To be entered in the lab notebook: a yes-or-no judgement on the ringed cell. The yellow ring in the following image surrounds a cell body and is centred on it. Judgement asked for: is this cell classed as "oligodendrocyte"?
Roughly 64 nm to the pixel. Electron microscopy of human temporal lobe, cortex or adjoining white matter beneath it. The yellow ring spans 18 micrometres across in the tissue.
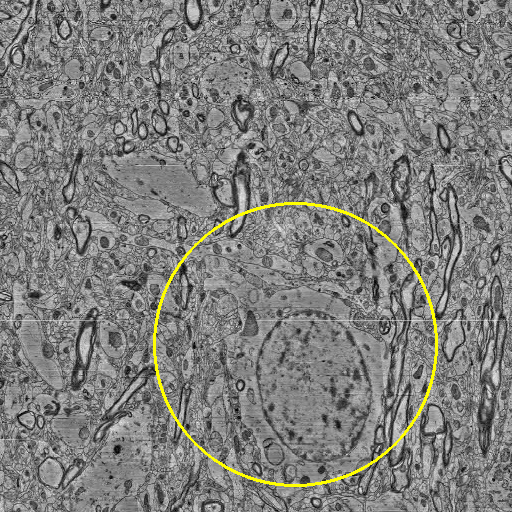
No, it falls in another class.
